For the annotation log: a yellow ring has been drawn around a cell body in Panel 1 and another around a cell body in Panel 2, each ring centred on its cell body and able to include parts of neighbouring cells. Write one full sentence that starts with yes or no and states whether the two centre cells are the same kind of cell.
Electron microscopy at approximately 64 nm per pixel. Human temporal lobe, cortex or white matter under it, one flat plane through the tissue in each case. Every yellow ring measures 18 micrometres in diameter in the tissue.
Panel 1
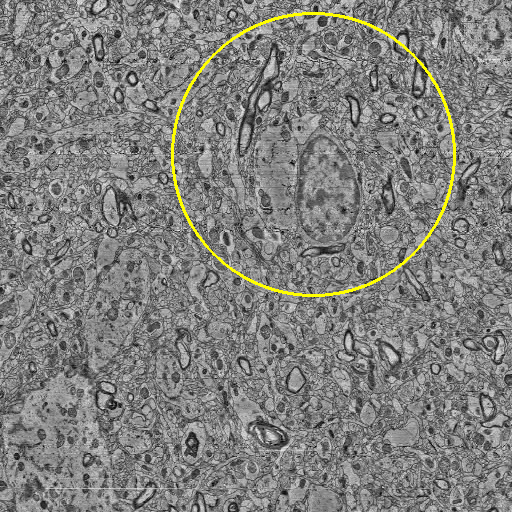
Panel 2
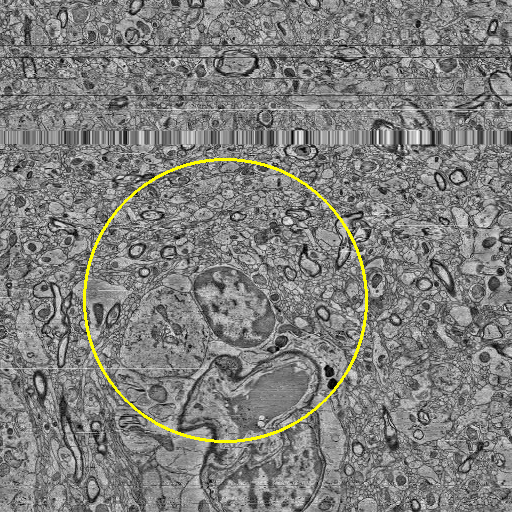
No, the two centre cells are two kinds of cell.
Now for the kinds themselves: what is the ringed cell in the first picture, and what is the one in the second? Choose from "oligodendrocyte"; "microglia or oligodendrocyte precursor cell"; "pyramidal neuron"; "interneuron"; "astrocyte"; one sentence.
Here the first cell is an oligodendrocyte and the second cell is a microglial cell or oligodendrocyte precursor cell.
